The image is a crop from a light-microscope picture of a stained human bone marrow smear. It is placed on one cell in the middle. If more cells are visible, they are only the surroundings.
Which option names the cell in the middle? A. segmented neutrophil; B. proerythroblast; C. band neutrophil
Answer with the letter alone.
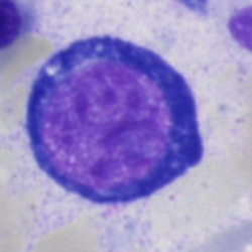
B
